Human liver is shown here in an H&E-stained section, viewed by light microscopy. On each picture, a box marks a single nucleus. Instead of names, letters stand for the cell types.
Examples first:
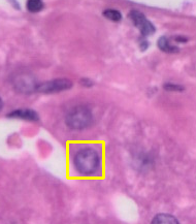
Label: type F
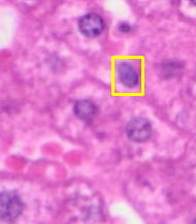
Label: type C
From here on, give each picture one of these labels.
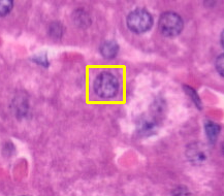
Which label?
type F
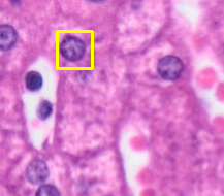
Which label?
type F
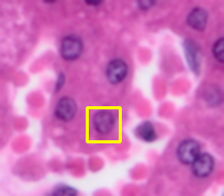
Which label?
type F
